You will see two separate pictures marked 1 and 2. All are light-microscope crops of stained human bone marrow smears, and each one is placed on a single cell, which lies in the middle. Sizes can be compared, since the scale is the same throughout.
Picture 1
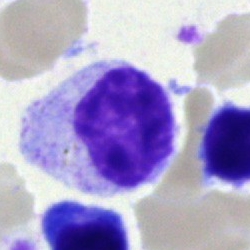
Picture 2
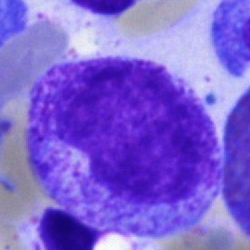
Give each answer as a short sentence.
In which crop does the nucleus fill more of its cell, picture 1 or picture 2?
It is the cell in picture 2 that is filled more by its nucleus.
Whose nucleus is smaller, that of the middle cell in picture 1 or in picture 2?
It is the nucleus in picture 1; the one in picture 2 has about 2 times its area.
